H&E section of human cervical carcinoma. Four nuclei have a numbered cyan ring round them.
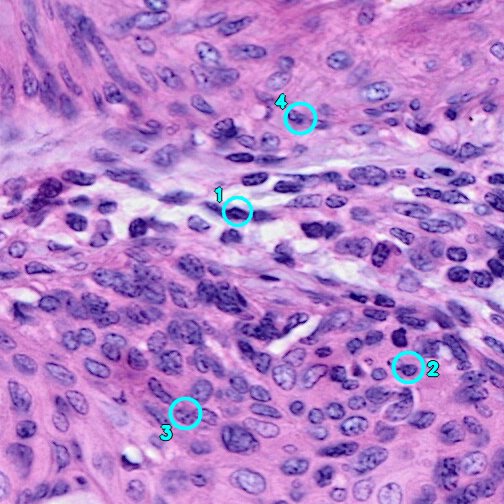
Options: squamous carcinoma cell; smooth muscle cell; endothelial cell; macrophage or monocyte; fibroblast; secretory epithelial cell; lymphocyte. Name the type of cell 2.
squamous carcinoma cell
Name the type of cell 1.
lymphocyte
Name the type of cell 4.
smooth muscle cell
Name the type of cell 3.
squamous carcinoma cell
